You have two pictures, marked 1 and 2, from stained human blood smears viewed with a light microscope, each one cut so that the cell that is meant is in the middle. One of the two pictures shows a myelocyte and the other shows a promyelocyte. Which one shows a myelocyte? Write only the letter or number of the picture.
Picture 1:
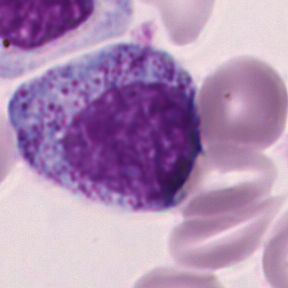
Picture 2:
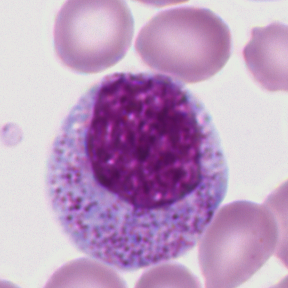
2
